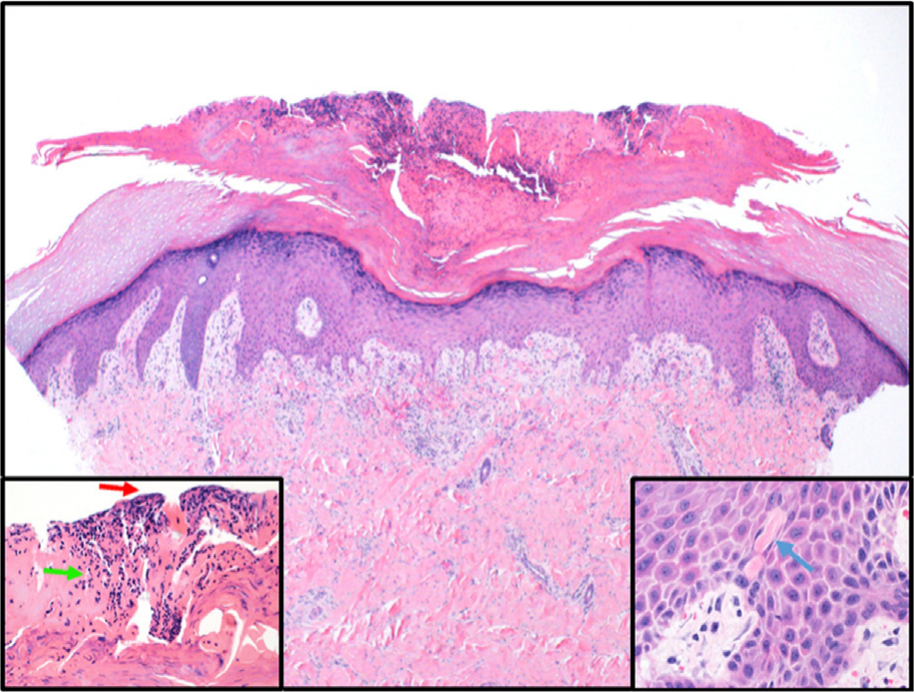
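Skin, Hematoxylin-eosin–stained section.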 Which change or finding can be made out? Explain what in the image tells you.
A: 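The epidermis is thickened. The rete ridges are elongated and reach down into the dermis.
Answer: acanthosis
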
